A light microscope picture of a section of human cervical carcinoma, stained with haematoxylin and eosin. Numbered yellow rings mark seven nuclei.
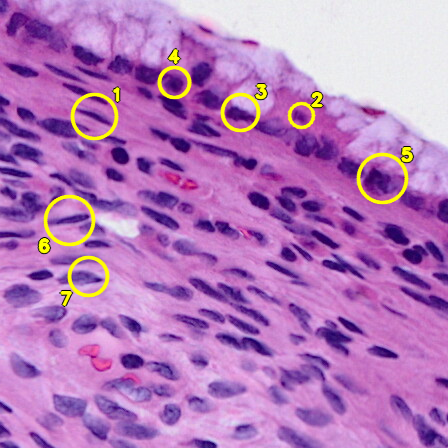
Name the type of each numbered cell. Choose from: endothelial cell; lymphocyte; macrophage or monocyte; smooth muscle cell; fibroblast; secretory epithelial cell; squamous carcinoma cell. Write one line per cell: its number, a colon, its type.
1: fibroblast
2: secretory epithelial cell
3: secretory epithelial cell
4: secretory epithelial cell
5: secretory epithelial cell
6: fibroblast
7: fibroblast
